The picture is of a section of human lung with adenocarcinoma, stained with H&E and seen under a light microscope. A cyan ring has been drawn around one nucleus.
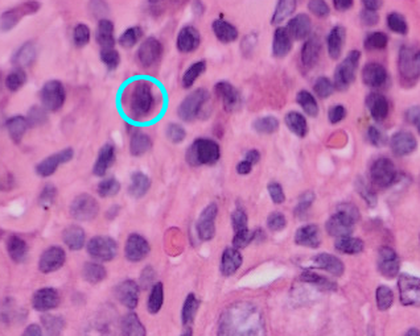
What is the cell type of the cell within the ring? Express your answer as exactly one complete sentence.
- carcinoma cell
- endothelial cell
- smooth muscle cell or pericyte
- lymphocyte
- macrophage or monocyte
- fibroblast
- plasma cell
As a matter of cell type, the cell within the ring is a plasma cell.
